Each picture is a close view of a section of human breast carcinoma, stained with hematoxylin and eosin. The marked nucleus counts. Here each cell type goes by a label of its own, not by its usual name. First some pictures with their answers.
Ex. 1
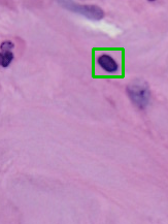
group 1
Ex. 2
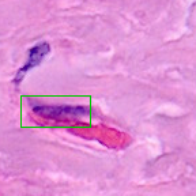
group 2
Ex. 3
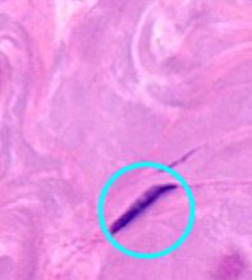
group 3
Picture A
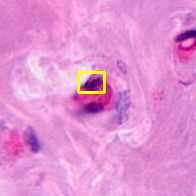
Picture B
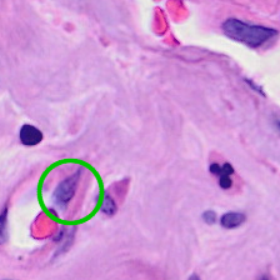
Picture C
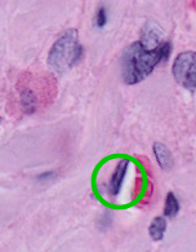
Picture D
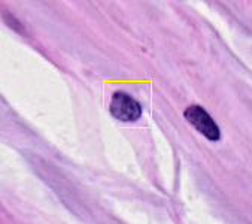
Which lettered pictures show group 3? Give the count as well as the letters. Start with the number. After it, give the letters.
0, none of them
